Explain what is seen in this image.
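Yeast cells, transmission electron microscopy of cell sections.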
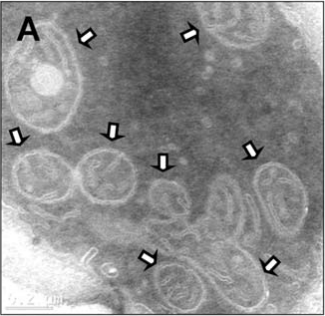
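This is part of a yeast cell in thin section, showing many mitochondria in the cytoplasm. The mitochondria are oval or rounded profiles, each bounded by a double membrane, and their interiors are crossed by inner membrane folds, the cristae, giving them a striated look. They are numerous and lie clustered through the grey, finely granular cytoplasm, some close to the cell edge. One organelle at upper left contains a pale round inclusion. Small light vesicles are scattered between the mitochondria.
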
